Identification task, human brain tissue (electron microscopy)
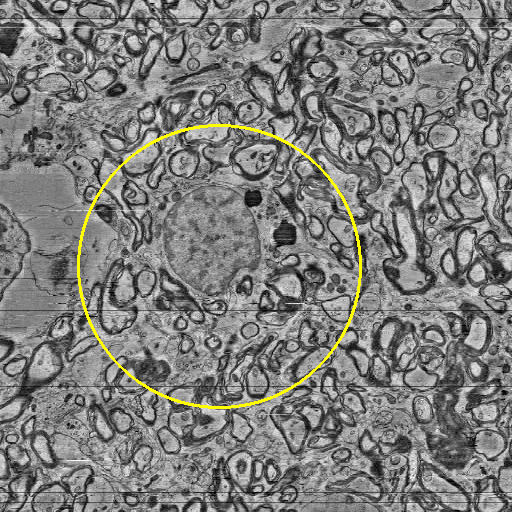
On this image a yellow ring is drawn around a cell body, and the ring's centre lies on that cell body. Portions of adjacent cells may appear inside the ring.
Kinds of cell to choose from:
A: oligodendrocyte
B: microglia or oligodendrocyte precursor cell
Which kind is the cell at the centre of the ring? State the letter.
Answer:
A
